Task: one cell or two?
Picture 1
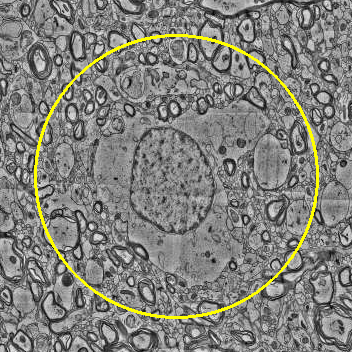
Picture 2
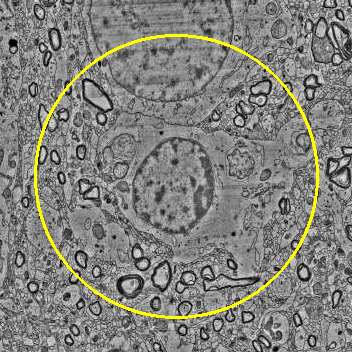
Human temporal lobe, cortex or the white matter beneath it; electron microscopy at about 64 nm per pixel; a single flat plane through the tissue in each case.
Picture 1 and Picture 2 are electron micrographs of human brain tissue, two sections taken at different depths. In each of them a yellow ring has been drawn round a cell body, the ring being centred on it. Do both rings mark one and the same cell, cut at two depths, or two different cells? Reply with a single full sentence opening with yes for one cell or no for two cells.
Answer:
No, the yellow rings mark two cells that are not the same.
